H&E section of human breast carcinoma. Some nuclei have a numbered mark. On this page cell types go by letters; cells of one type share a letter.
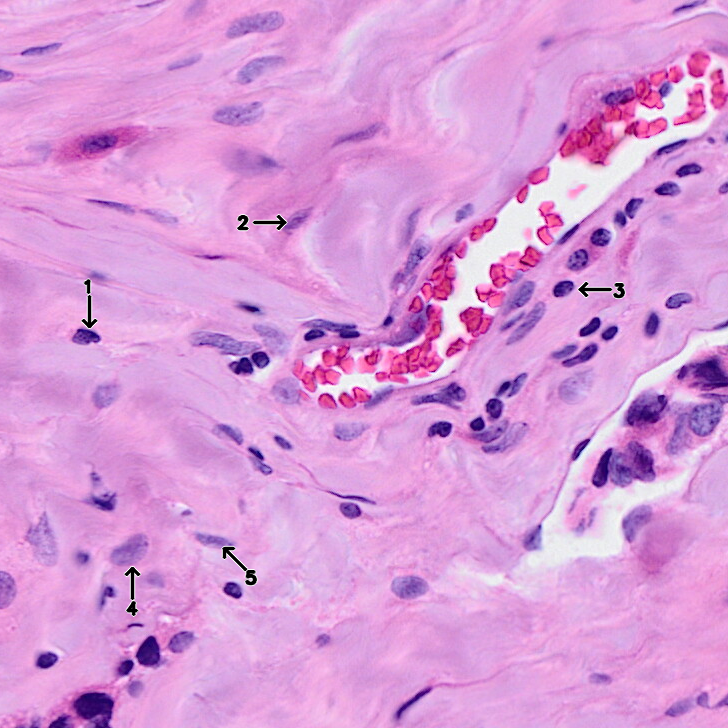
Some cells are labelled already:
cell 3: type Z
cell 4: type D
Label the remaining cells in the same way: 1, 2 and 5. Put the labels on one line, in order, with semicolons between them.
type Z; type D; type D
